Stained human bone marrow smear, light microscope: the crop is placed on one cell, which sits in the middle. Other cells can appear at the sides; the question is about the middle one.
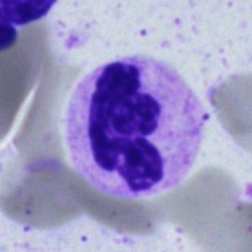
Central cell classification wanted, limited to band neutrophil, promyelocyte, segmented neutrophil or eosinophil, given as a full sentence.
This particular crop is centered on a segmented neutrophil.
